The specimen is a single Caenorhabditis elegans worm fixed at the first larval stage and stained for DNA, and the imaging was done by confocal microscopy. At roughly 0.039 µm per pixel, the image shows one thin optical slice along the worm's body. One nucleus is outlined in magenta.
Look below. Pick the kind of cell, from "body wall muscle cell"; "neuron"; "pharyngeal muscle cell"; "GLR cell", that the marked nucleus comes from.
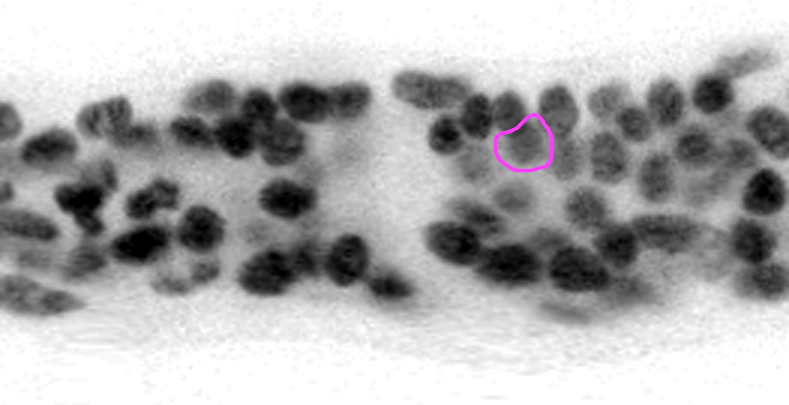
neuron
